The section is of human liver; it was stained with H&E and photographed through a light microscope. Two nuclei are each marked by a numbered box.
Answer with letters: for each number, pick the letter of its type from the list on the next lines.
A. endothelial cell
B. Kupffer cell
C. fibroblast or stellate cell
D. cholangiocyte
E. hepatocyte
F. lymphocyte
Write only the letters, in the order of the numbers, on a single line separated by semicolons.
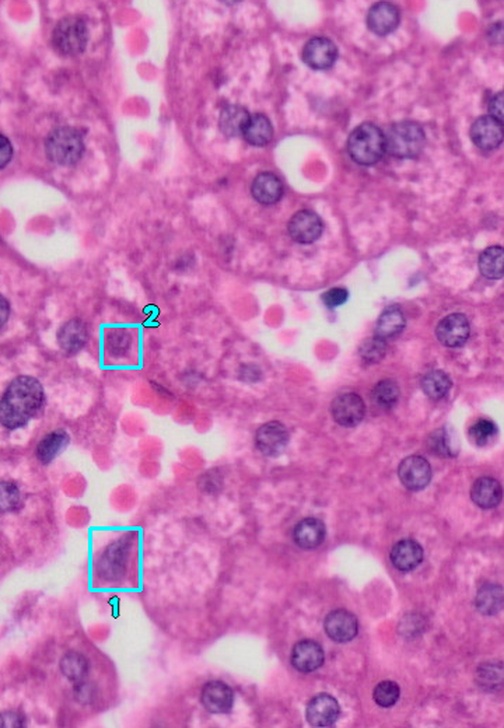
B; E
